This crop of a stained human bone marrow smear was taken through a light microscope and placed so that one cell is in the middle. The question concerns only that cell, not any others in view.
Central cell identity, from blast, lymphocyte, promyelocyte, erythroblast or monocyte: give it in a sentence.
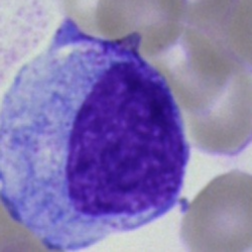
The cell in the middle of this crop is a promyelocyte.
